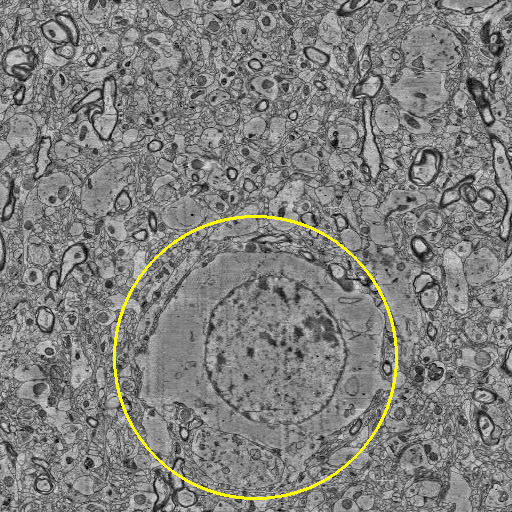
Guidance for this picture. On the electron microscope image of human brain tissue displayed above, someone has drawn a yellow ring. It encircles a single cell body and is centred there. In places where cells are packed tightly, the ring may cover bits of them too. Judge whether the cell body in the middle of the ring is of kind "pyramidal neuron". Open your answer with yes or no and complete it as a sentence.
No, another kind matches the cell whose body lies at the ring's centre in the image above.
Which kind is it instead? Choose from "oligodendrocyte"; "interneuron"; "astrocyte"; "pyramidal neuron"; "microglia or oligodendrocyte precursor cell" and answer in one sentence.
As it turns out, the cell at the ring centre is an astrocyte.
